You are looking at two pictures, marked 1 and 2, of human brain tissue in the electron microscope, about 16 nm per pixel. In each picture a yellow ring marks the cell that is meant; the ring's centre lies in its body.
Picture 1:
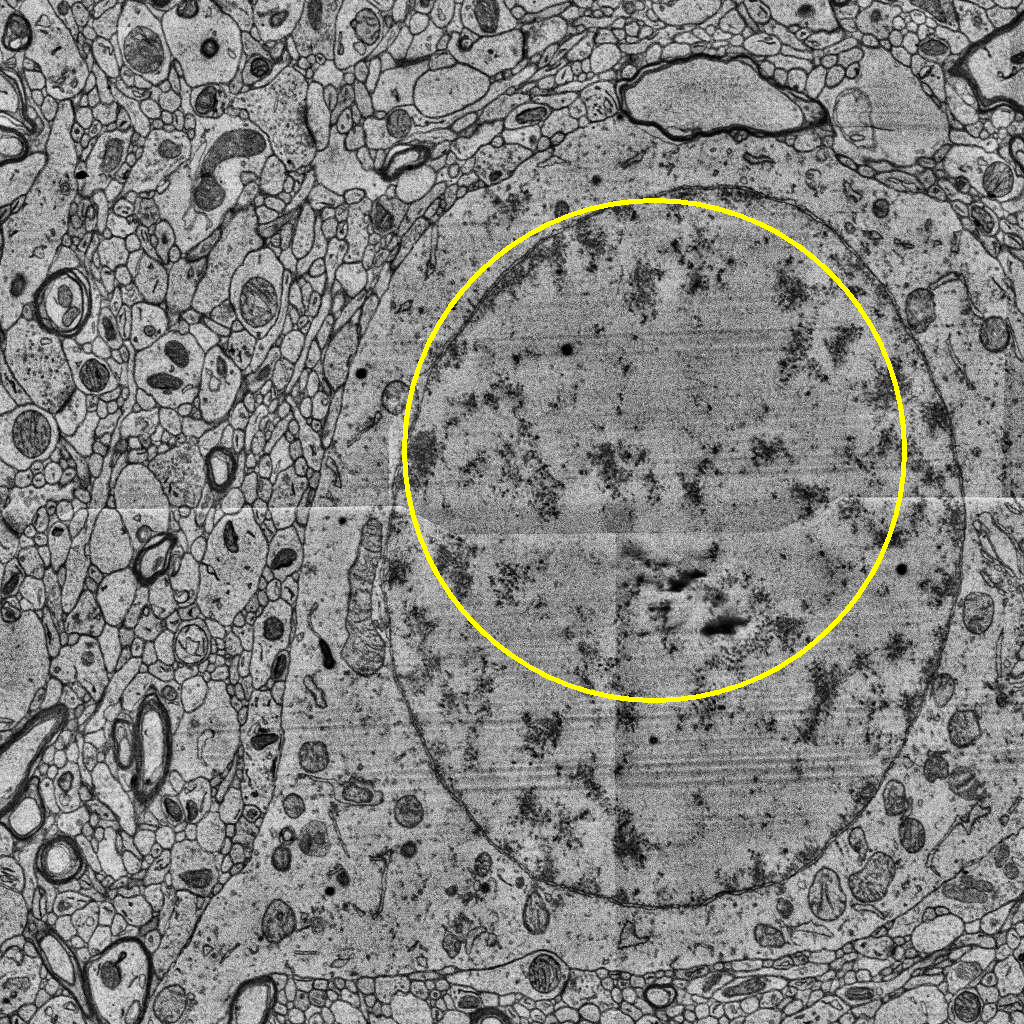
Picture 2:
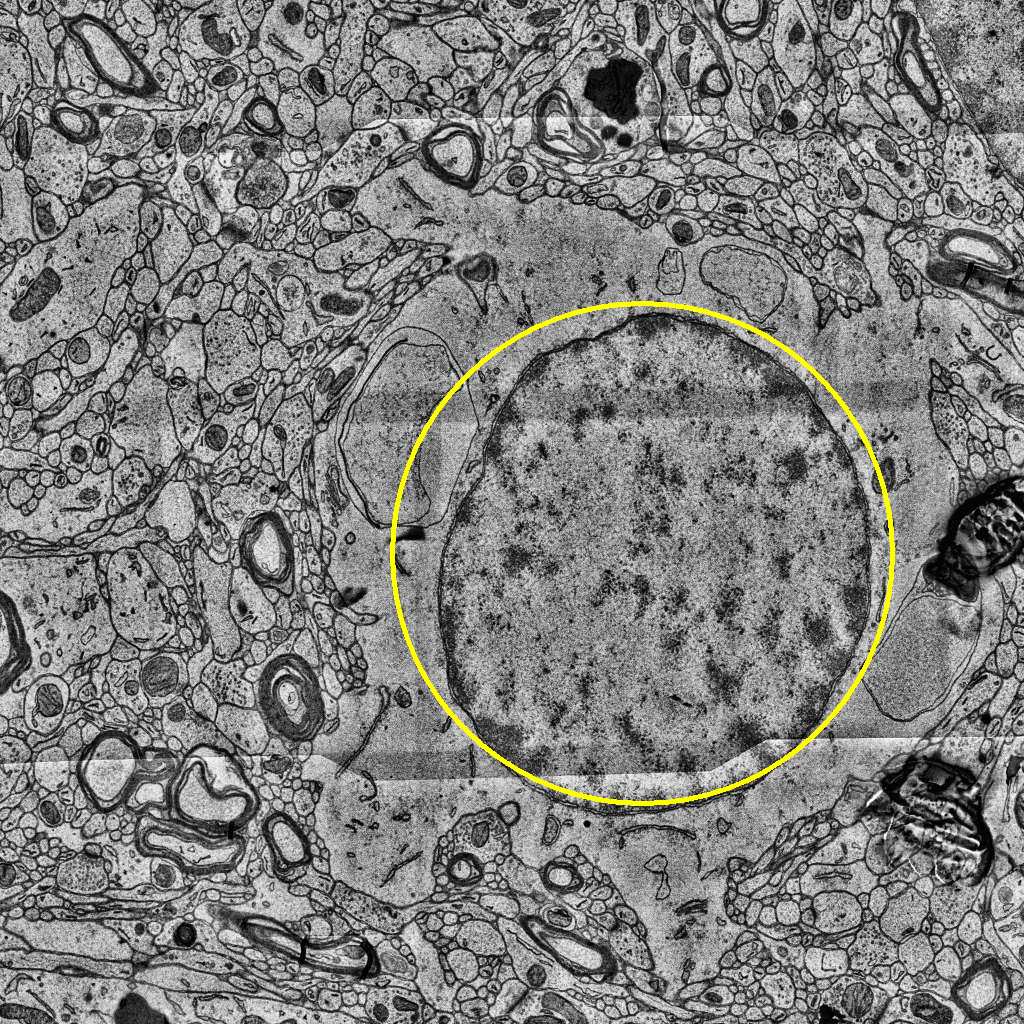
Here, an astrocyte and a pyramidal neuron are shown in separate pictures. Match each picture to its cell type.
The cell in picture 1 is a pyramidal neuron, and the one in picture 2 is an astrocyte.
